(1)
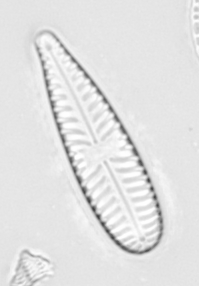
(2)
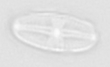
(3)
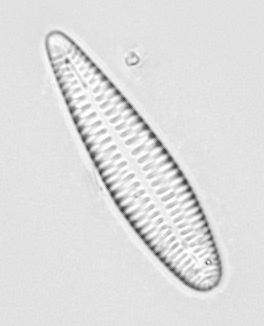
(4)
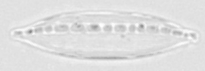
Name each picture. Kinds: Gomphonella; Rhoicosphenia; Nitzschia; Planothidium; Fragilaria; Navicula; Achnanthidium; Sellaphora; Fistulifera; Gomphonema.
Picture 1: Gomphonella
Picture 2: Sellaphora
Picture 3: Rhoicosphenia
Picture 4: Nitzschia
